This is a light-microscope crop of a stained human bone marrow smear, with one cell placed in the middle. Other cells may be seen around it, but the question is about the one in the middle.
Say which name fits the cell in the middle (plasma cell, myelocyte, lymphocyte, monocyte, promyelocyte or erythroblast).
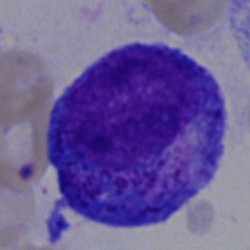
promyelocyte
